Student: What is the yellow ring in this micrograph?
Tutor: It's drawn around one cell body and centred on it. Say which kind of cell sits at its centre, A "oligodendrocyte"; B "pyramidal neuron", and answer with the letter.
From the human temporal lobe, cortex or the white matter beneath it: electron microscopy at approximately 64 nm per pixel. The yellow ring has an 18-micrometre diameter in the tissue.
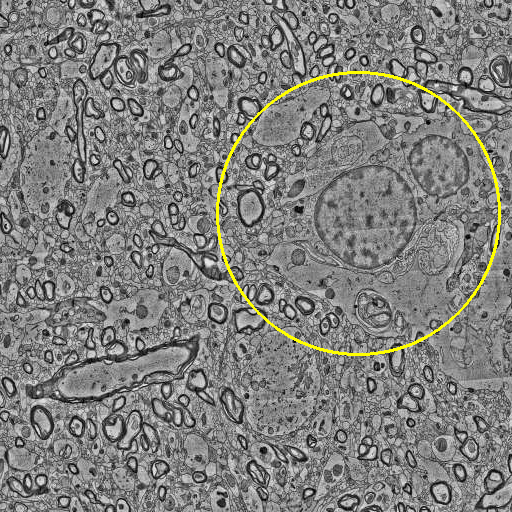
A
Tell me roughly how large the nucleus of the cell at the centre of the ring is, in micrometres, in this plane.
The ringed cell's nucleus is about 6 micrometres across in this plane.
